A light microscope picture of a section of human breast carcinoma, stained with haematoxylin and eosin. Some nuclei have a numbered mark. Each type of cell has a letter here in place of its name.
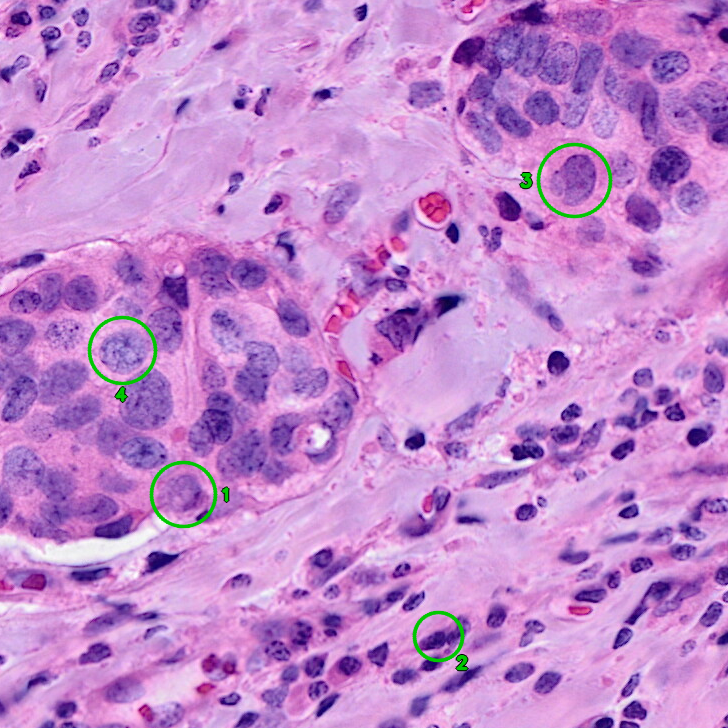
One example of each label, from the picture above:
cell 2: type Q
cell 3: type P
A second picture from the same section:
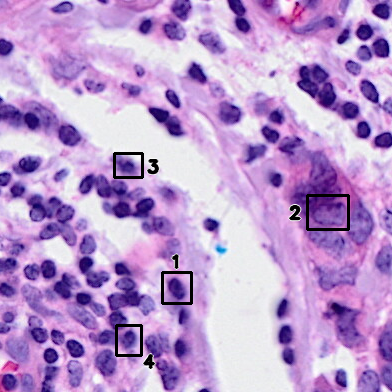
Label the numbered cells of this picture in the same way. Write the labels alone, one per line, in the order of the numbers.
type Q
type P
type Q
type Q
